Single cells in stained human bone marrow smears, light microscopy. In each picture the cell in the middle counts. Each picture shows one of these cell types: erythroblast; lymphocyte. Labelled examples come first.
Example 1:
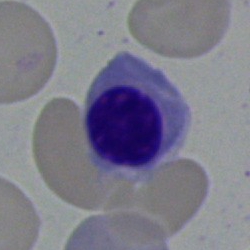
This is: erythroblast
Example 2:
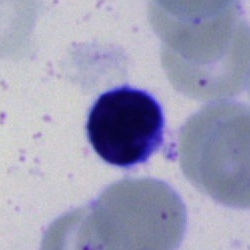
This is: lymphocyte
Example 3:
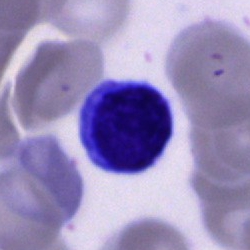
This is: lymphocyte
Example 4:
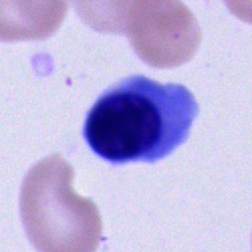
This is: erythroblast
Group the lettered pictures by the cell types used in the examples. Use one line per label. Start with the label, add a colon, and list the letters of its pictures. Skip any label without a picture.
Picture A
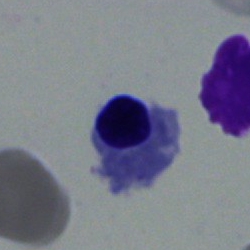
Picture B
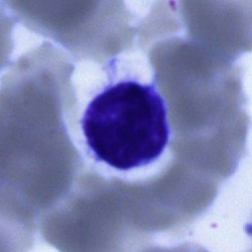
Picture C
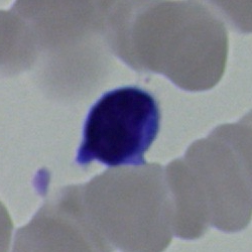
erythroblast: A
lymphocyte: B, C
